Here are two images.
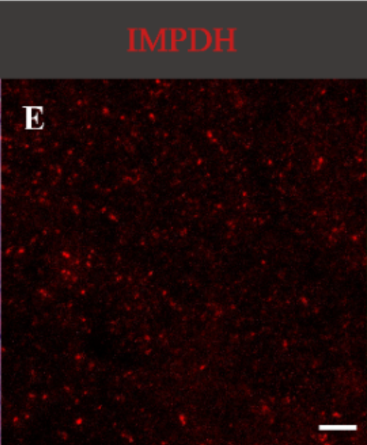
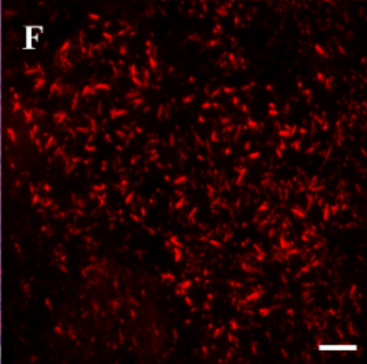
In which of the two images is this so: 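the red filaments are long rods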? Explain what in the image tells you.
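Second image: numerous distinct elongated red rods throughout the field. First image: only small faint red dots, no clear rods.
Conclusion: the second image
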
